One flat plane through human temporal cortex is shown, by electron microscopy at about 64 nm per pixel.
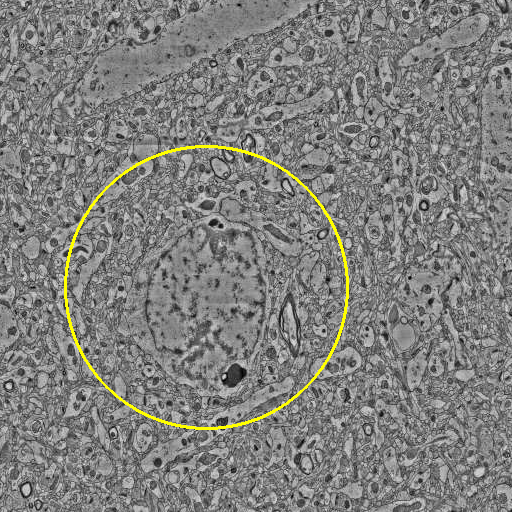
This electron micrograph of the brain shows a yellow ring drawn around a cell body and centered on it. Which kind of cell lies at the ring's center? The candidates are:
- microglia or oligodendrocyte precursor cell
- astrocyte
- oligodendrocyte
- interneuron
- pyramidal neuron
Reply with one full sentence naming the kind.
The cell lying at the ring's center in this micrograph is an interneuron.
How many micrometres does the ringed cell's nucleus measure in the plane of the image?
In this plane, approximately 9 micrometres across.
